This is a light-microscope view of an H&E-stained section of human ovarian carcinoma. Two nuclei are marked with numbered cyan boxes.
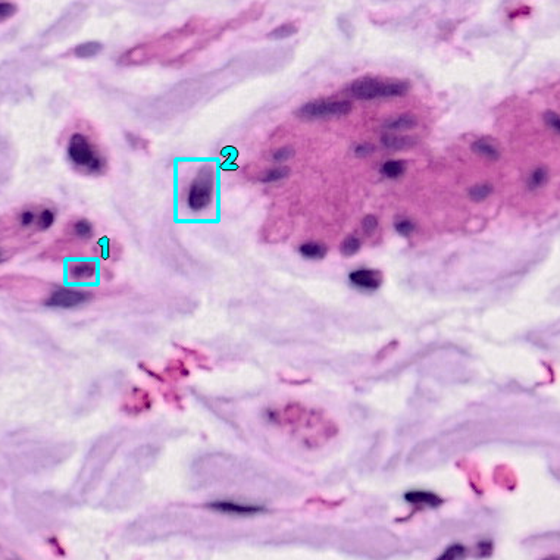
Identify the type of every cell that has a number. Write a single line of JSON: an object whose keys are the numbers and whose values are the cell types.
{"1": "smooth muscle cell", "2": "fibroblast"}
